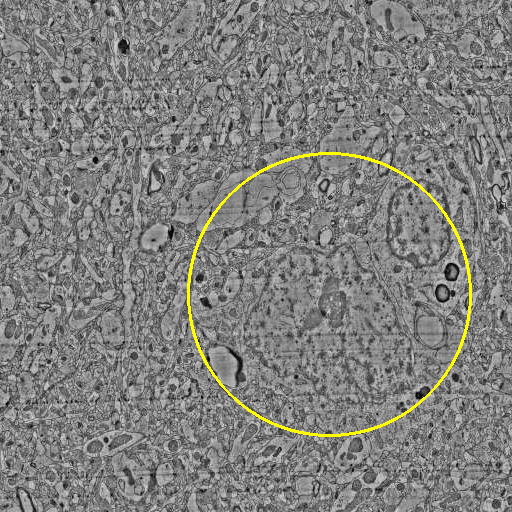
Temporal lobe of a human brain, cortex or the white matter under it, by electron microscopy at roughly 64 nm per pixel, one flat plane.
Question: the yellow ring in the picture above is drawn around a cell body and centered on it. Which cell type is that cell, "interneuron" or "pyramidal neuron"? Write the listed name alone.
interneuron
